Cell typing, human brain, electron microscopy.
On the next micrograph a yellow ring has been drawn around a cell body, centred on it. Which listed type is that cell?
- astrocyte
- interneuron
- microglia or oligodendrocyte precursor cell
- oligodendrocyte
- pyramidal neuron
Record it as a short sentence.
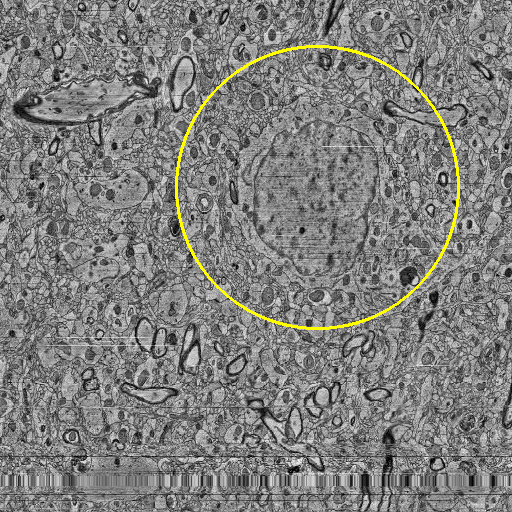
The cell body in the ring's centre belongs to an interneuron.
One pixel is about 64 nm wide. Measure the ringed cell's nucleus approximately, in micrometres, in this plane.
In this plane the nucleus is about 10 micrometres by 8.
